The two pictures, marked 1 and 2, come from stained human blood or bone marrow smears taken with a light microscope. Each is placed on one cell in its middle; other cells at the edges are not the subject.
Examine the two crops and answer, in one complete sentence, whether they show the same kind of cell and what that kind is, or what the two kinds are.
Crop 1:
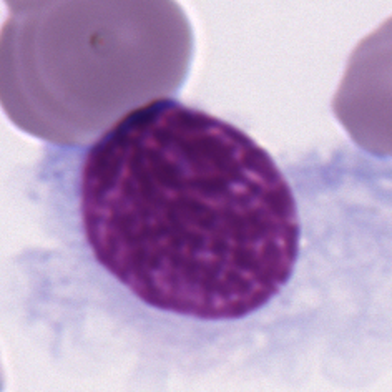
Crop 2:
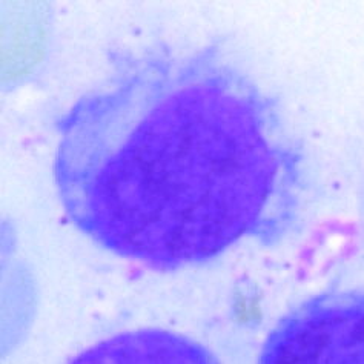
Yes, the two cells in the two crops are hairy cells.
